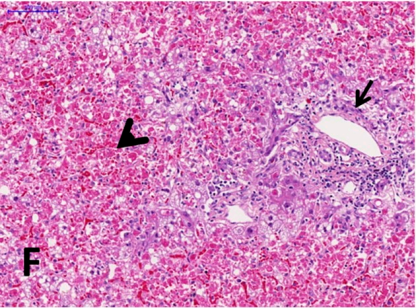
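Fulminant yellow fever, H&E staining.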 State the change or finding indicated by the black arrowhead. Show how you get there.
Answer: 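Severely damaged mid-zonal hepatocytes. The arrowhead lies in parenchyma where hepatocytes have intensely eosinophilic, clumped cytoplasm. Many of these cells lack a clear nucleus and lie apart from one another. The normal plate arrangement is lost in this area.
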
